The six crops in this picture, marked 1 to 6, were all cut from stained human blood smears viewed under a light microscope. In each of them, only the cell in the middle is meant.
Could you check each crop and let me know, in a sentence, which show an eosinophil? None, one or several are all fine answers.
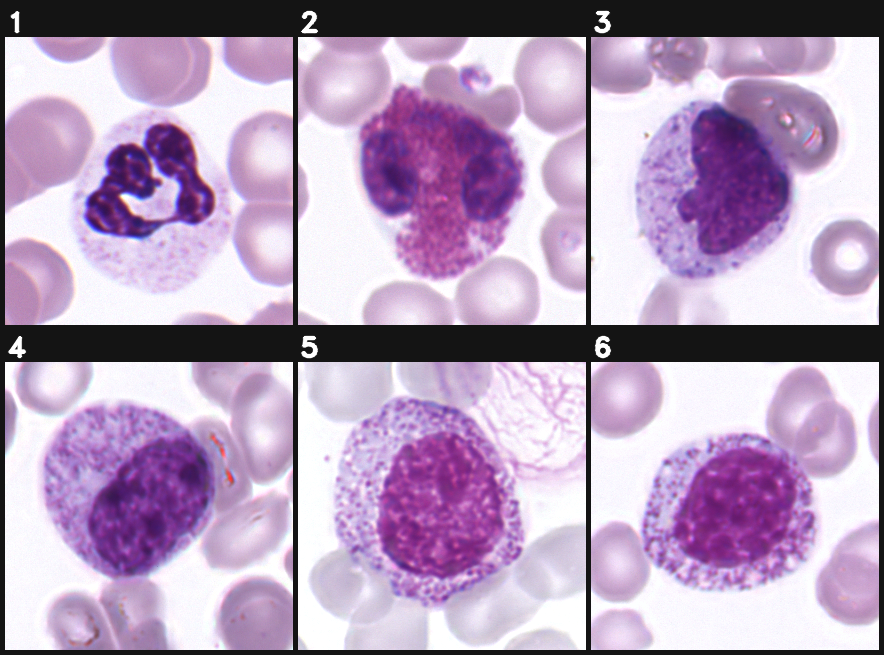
Only crop 2 contains an eosinophil among those given.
